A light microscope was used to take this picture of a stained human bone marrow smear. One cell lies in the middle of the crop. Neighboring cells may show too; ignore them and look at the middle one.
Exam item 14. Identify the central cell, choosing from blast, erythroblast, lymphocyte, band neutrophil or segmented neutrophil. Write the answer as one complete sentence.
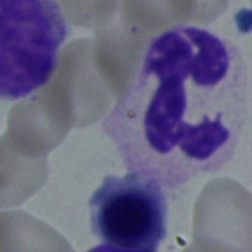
The cell centred in this crop is categorized as a segmented neutrophil.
